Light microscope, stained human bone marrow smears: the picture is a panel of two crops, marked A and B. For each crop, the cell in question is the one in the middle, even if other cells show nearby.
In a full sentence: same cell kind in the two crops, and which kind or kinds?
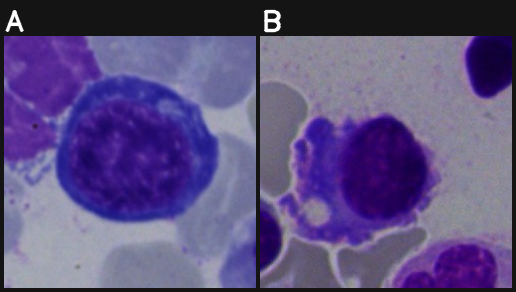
No, crop B holds a plasma cell, while crop A holds a proerythroblast.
